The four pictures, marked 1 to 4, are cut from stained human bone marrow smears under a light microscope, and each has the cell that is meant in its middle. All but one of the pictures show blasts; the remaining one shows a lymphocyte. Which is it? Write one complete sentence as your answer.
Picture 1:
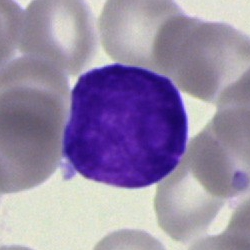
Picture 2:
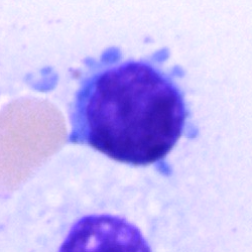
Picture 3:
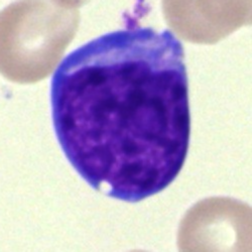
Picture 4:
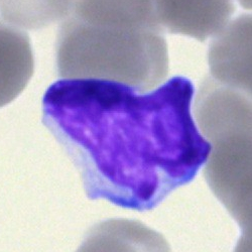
Picture 2 is the one that shows the lymphocyte.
